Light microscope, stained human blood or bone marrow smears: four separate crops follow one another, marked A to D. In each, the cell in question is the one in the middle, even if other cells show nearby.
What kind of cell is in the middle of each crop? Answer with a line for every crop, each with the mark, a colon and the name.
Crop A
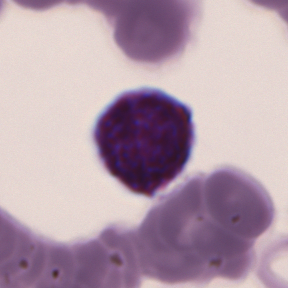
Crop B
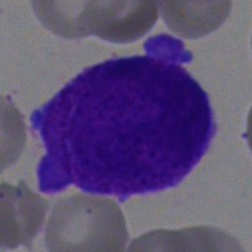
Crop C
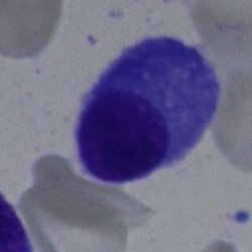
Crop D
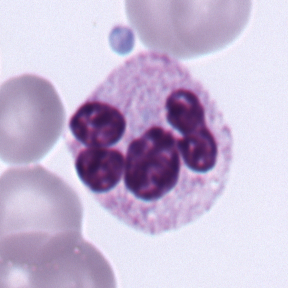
A: blast
B: blast
C: plasma cell
D: segmented neutrophil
